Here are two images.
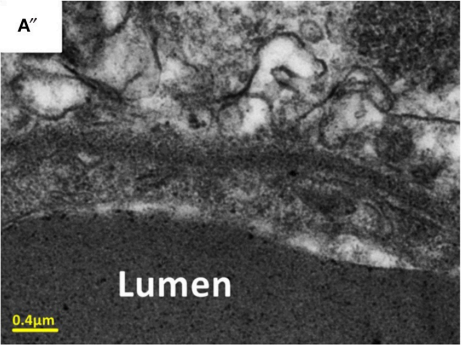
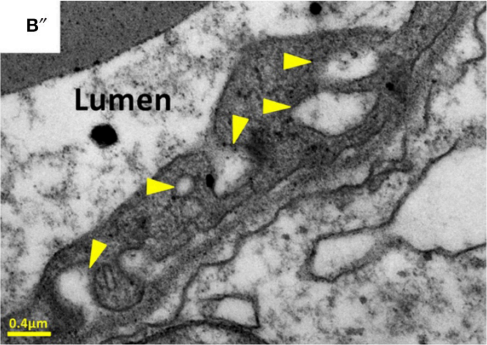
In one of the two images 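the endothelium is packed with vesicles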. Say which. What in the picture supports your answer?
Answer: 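The second image. First image: the thin cell layer by the lumen is smooth and holds hardly any clear vesicles.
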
